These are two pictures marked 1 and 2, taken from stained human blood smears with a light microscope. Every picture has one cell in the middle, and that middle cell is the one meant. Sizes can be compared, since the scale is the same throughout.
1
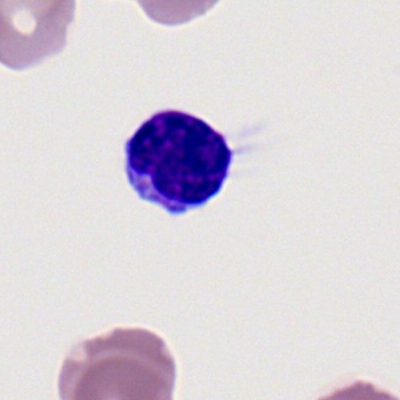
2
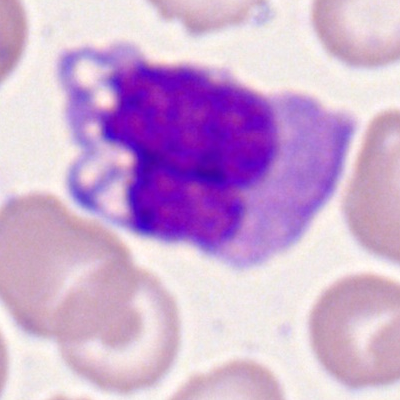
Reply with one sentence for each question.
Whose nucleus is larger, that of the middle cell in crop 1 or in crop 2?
Larger is the nucleus in crop 2, at roughly 3 times the area of the other.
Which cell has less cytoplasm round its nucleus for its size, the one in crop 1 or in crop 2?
In crop 1 the nucleus takes up the larger part of its cell.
